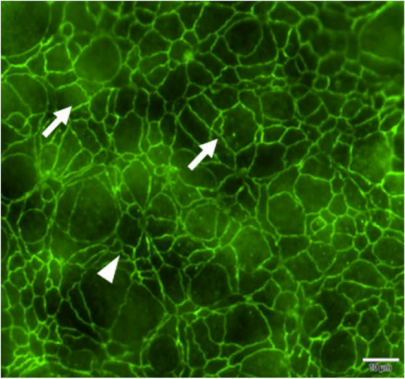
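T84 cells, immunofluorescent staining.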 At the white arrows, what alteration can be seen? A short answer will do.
Sinusoidal irregularities.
